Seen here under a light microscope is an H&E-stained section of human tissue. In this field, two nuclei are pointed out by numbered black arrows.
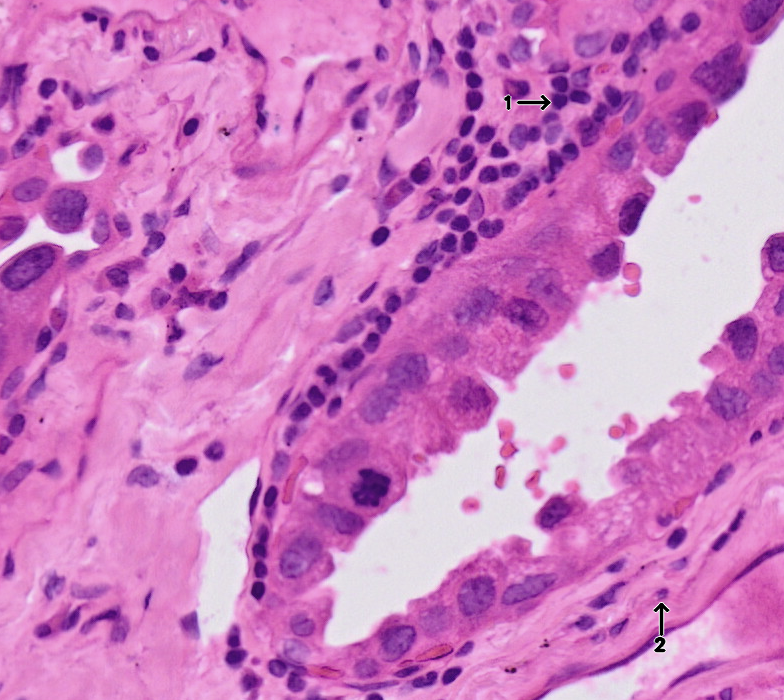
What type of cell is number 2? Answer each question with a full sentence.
The expected answer is that cell 2 is a smooth muscle cell or pericyte.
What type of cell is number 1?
Belonging to a lymphocyte is the nucleus that carries the number 1.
